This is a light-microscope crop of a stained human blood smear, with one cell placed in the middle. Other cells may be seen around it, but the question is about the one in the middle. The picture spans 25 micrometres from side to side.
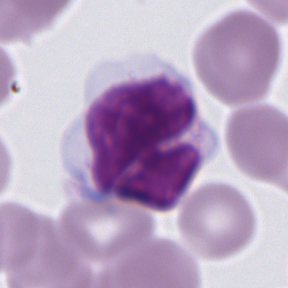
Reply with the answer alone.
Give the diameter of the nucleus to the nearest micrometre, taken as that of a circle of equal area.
10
